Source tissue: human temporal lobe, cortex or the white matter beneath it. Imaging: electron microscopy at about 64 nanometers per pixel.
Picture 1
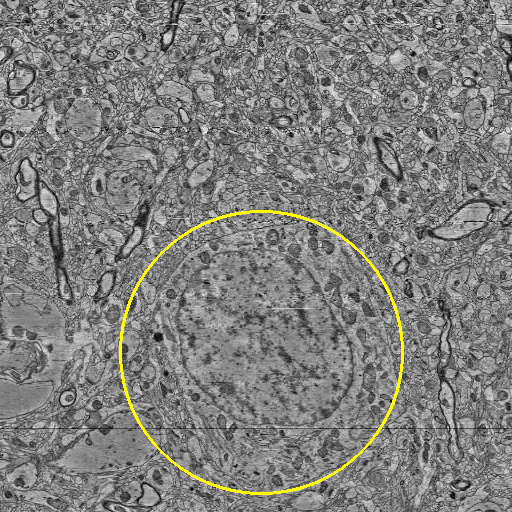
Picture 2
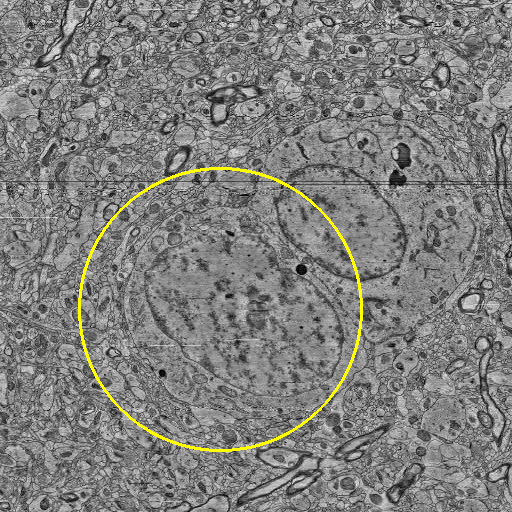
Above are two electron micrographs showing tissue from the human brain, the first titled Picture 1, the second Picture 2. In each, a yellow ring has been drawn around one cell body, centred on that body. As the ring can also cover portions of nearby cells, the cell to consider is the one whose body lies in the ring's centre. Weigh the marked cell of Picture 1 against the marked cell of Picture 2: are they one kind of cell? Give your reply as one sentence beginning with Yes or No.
Yes, the two cells sitting at the ring centres in the pictures are of one kind.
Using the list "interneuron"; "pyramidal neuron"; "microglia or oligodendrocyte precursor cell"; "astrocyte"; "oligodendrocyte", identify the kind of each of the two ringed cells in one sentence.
Both the first and the second picture show an interneuron in the ring.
